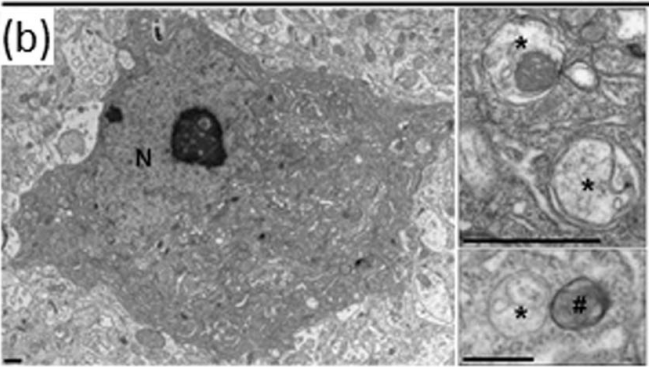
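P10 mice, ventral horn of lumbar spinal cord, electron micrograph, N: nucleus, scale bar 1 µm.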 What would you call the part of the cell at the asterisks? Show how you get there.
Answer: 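Autophagosomes. Round vacuoles bounded by double or multiple membranes. They enclose pale cytoplasmic material and membrane fragments.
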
